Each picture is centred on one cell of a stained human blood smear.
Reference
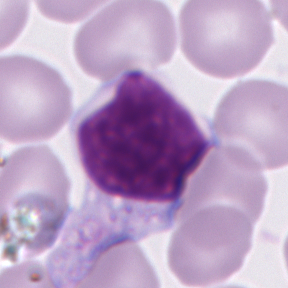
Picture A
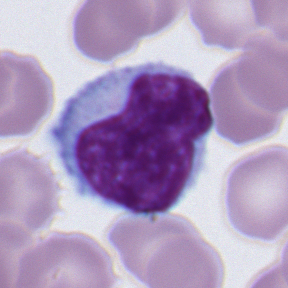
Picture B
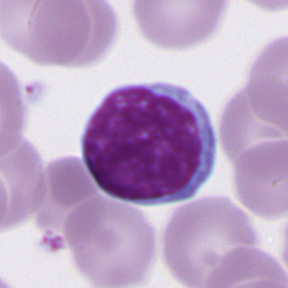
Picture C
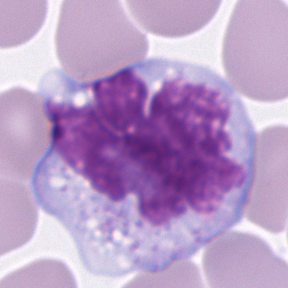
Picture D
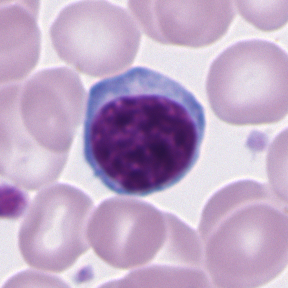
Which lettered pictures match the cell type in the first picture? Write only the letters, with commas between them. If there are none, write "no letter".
no letter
